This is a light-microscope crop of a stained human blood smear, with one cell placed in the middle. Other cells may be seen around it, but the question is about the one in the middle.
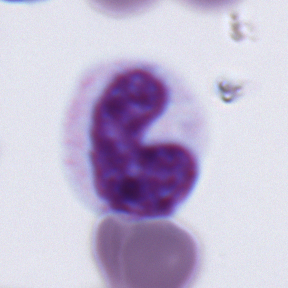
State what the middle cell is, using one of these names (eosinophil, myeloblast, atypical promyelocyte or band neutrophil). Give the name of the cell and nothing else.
band neutrophil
